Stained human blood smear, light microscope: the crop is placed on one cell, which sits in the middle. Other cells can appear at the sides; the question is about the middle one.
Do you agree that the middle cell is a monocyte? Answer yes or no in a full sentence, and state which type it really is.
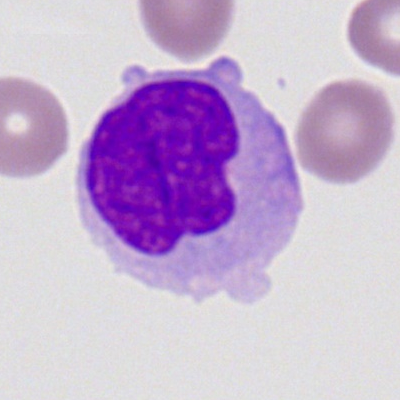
Yes, the cell shown at the crop's centre is a monocyte.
